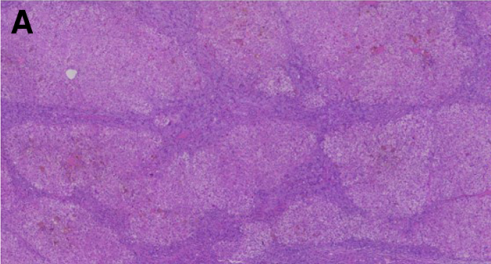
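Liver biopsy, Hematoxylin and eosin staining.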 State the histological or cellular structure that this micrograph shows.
Pseudo-lobules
